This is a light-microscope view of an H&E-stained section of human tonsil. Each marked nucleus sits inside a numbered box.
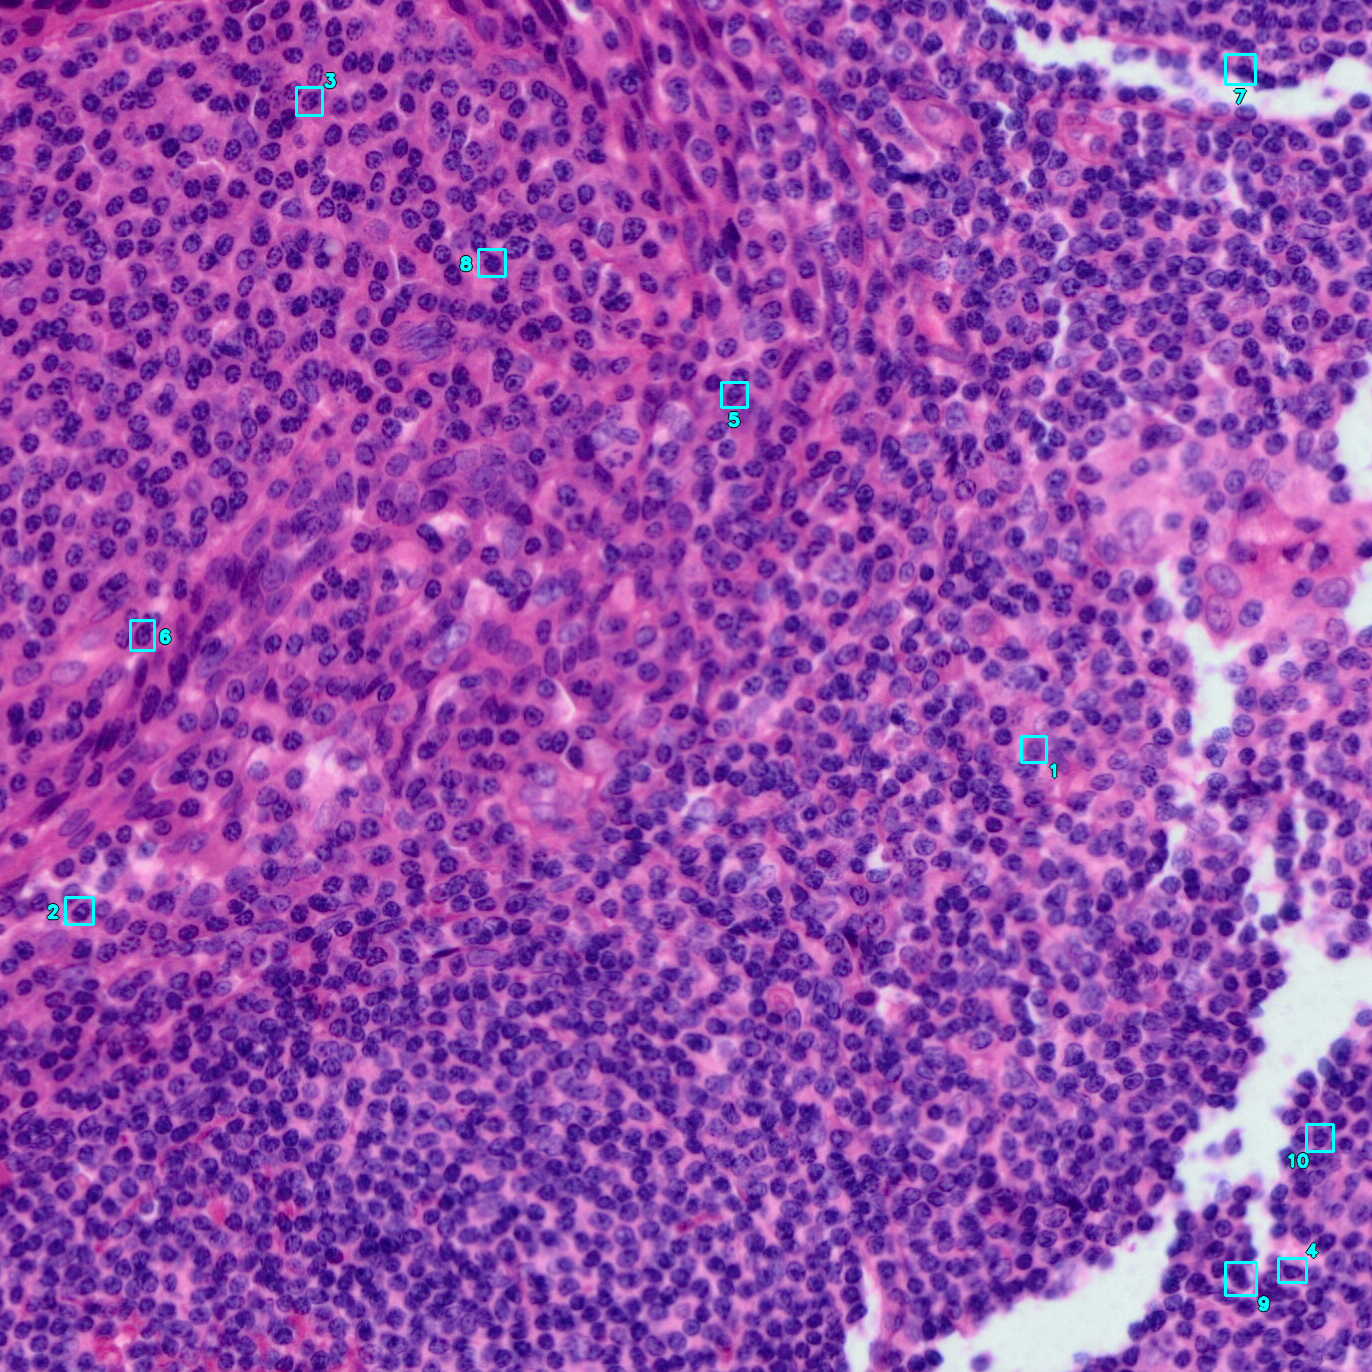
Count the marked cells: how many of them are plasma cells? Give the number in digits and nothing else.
6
